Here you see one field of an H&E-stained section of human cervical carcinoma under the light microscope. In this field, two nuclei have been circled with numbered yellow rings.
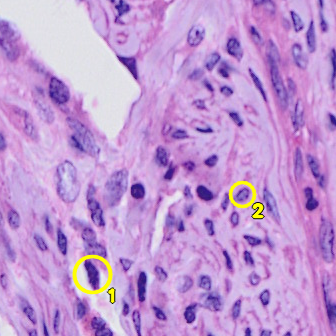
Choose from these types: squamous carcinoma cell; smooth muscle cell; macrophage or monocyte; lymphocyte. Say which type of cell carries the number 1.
lymphocyte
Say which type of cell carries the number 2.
smooth muscle cell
